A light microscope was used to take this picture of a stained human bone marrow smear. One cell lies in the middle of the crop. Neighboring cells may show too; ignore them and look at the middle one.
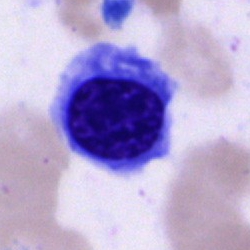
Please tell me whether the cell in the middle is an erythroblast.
yes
